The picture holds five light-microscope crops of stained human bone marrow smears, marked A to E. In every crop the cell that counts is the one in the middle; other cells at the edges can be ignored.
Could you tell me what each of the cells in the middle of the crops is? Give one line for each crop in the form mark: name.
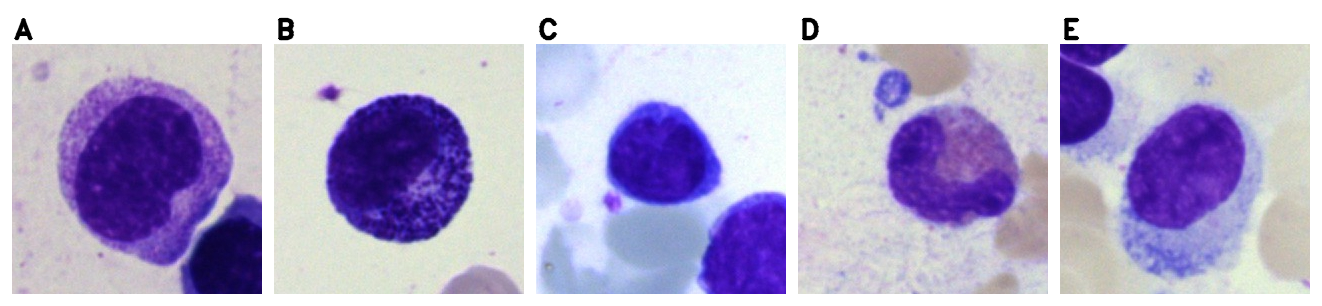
A: metamyelocyte
B: promyelocyte
C: lymphocyte
D: basophil
E: hairy cell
